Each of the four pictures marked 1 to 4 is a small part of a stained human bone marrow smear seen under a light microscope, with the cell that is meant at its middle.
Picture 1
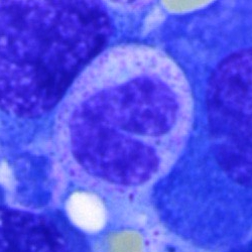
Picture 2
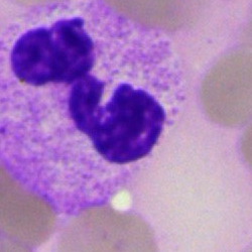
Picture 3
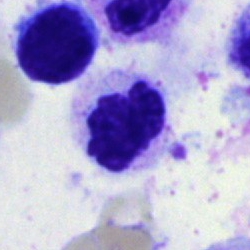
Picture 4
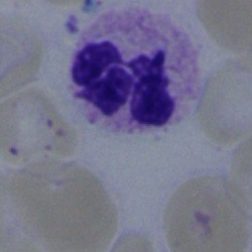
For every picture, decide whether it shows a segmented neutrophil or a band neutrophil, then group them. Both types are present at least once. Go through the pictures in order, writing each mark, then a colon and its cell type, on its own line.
1: band neutrophil
2: segmented neutrophil
3: segmented neutrophil
4: segmented neutrophil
